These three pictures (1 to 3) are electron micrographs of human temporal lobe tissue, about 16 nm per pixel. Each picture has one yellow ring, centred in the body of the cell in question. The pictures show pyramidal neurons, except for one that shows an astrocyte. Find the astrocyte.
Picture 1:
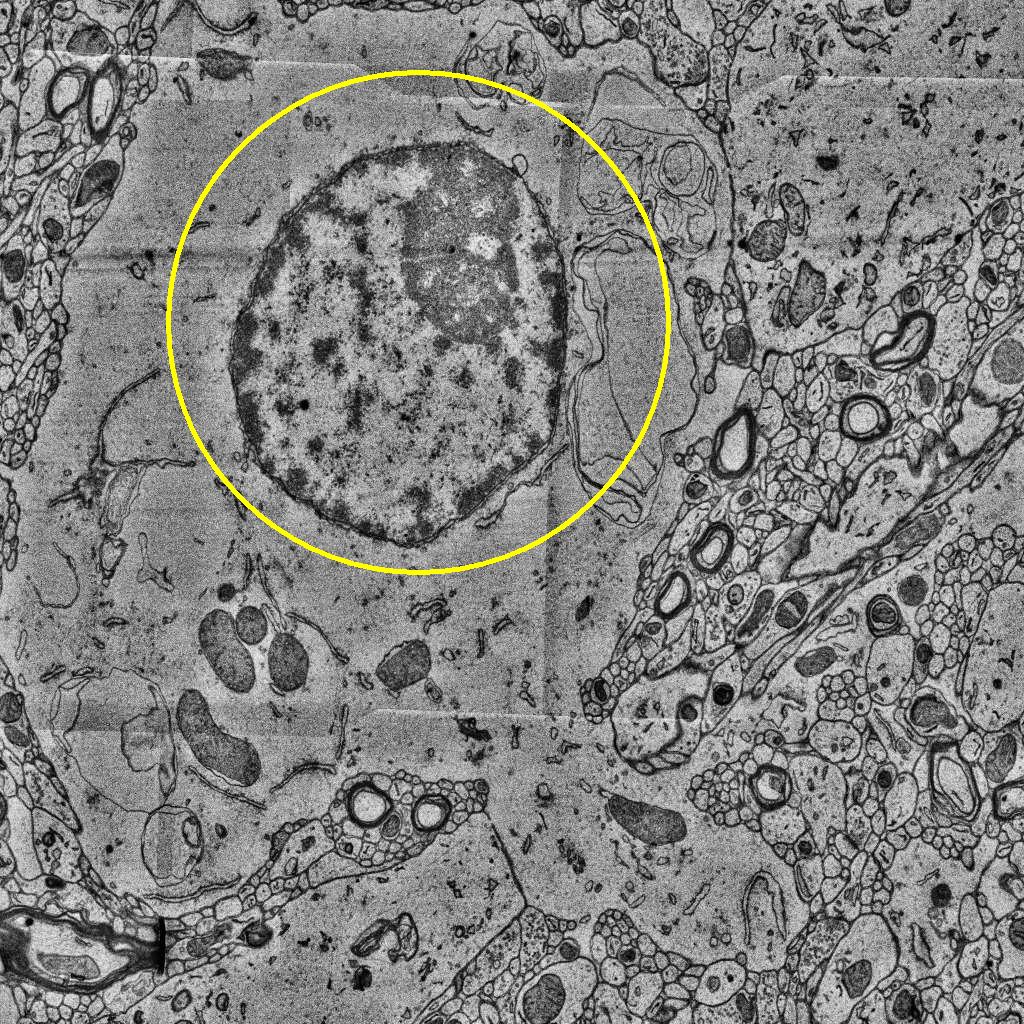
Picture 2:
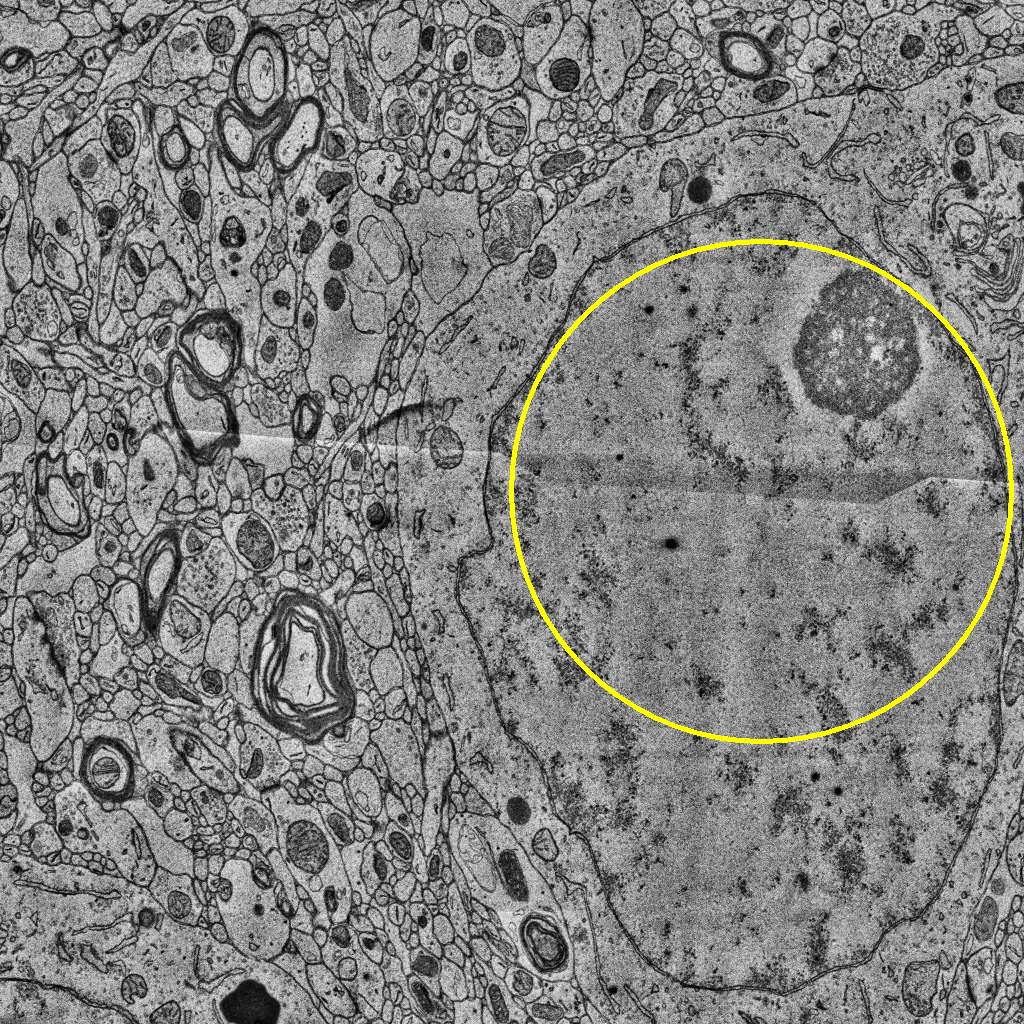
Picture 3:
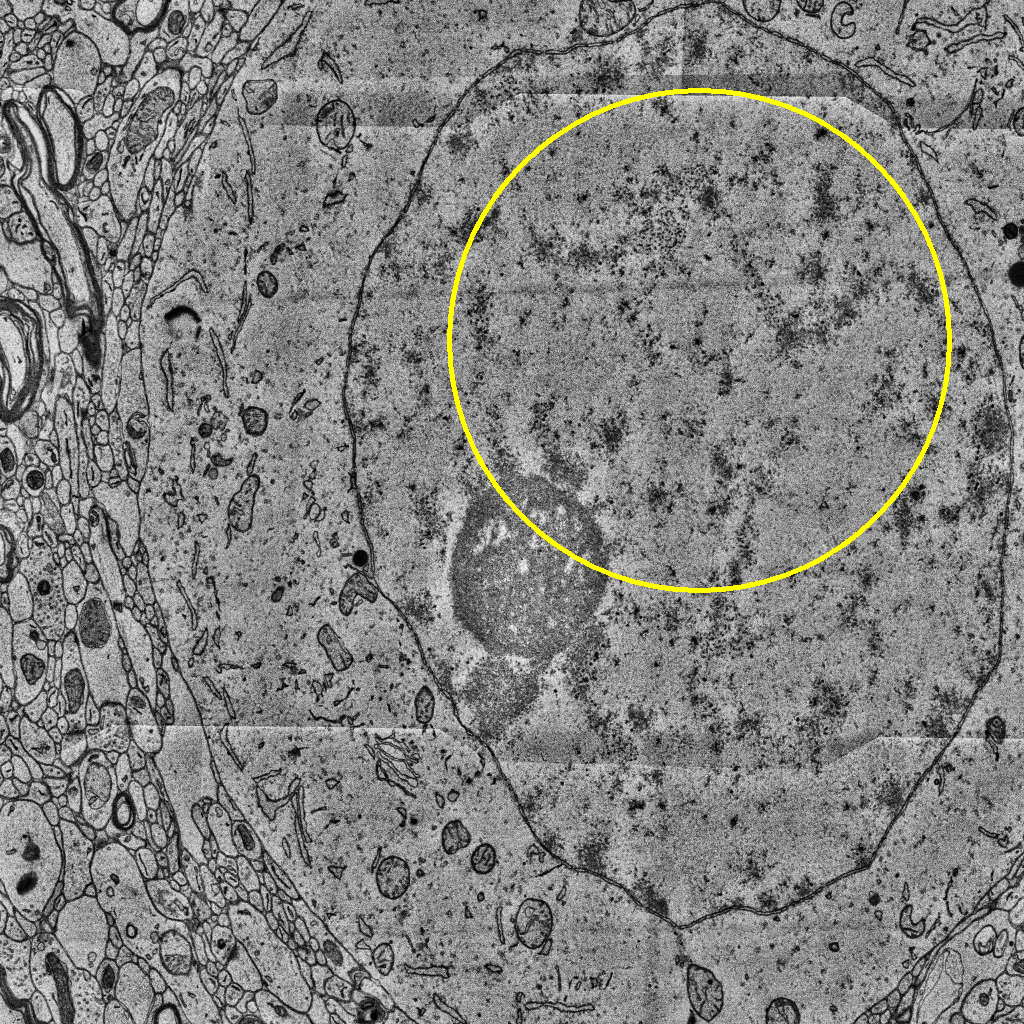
The cell in picture 1 is the astrocyte.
